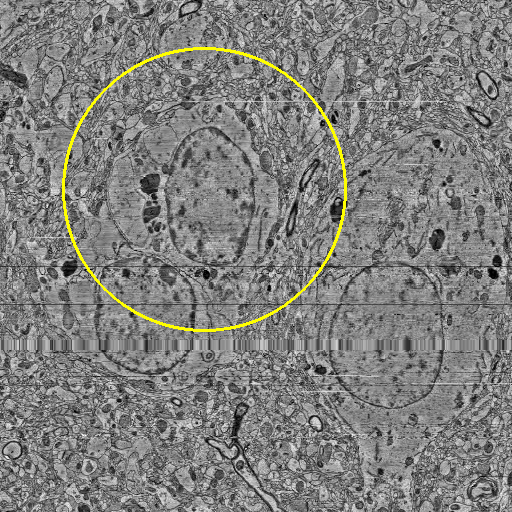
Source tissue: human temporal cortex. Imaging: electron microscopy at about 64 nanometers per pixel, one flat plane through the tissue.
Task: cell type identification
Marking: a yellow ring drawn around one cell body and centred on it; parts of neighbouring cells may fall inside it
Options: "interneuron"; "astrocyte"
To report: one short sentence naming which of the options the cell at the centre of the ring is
The cell at the centre of the ring is an astrocyte.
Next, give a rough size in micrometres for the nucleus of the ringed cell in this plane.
The nucleus is approximately 9 micrometres long but only about 6 wide, clearly longer than it is wide in this plane.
